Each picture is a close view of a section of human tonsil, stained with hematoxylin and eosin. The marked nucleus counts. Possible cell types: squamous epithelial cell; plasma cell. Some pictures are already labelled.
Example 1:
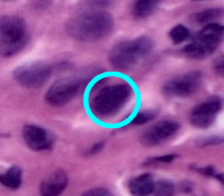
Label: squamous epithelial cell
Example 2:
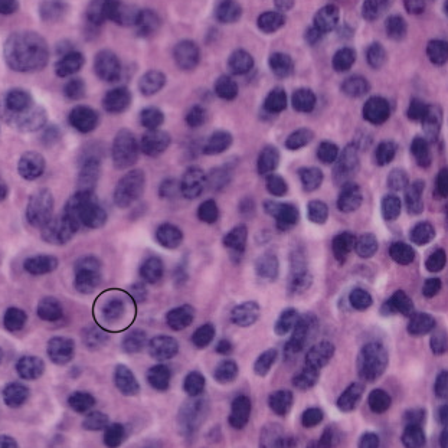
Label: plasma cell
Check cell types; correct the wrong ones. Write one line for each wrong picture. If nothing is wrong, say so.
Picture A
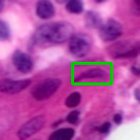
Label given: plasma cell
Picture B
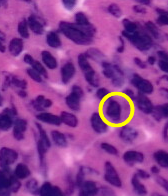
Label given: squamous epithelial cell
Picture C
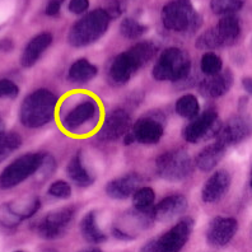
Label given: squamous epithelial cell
A: change plasma cell to squamous epithelial cell
B: change squamous epithelial cell to plasma cell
